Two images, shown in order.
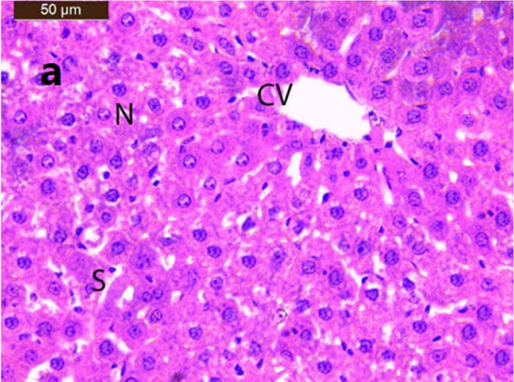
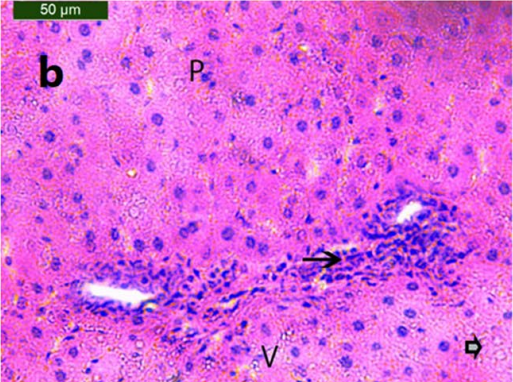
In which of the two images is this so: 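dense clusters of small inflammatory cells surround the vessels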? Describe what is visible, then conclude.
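Second image: a dense band of small dark nuclei surrounds two vessels. First image: the central vein is lined only by a thin wall with no cluster of small dark cells around it. So: the second image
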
